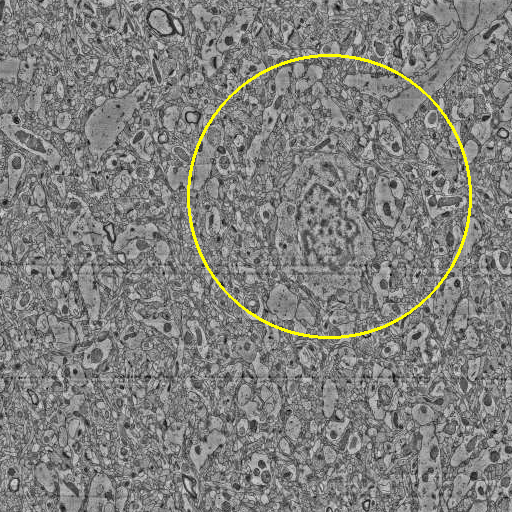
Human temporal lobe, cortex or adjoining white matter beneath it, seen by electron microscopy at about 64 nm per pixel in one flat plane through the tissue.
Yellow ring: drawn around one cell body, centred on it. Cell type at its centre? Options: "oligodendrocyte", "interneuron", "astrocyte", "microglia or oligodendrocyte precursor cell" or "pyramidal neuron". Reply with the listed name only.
interneuron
